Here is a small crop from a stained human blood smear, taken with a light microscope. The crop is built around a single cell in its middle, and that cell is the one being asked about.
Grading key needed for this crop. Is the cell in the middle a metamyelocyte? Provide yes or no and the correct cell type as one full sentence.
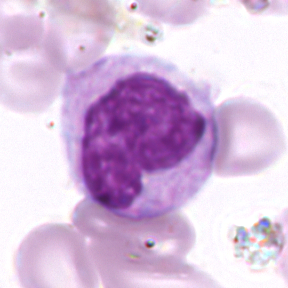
No, this cell in the middle is a band neutrophil, so it is not a metamyelocyte.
